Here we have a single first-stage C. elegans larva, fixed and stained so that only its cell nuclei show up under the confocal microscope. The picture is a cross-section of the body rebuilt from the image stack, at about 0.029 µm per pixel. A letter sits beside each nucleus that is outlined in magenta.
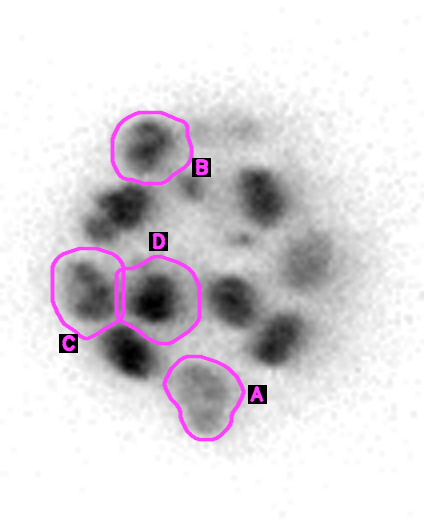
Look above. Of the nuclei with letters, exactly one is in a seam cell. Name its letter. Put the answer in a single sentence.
The one from a seam cell is C.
